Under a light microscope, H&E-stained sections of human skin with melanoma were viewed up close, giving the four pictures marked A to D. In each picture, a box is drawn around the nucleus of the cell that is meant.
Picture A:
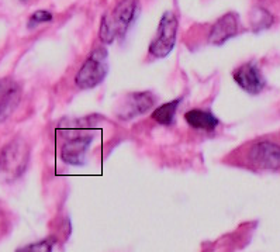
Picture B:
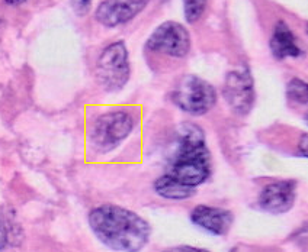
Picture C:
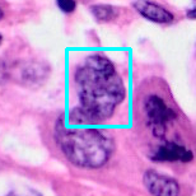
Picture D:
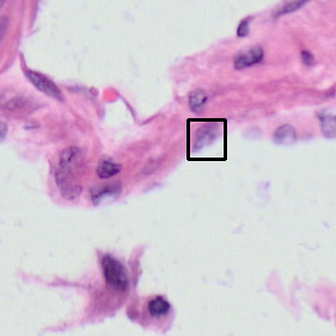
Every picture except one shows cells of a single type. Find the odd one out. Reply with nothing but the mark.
D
